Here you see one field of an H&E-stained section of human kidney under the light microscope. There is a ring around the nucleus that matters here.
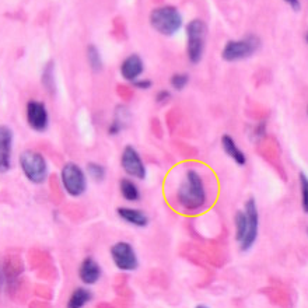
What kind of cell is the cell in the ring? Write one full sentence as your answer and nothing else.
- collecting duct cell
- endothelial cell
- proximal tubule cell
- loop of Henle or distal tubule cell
Labelled by cell type, the cell in the ring is an endothelial cell.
